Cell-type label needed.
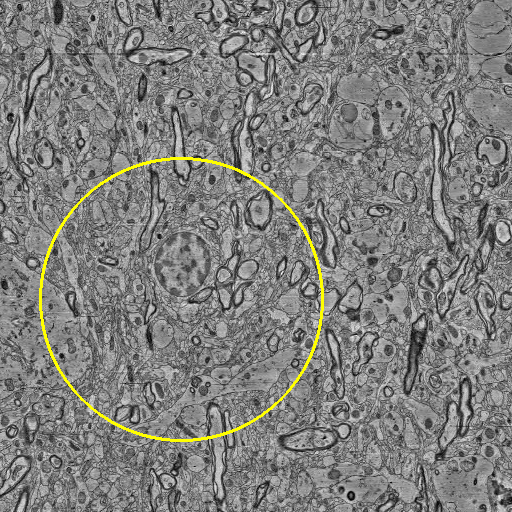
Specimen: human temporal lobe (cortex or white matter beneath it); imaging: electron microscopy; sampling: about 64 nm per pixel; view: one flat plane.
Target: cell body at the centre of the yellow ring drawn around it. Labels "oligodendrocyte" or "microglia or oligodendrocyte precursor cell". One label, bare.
microglia or oligodendrocyte precursor cell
